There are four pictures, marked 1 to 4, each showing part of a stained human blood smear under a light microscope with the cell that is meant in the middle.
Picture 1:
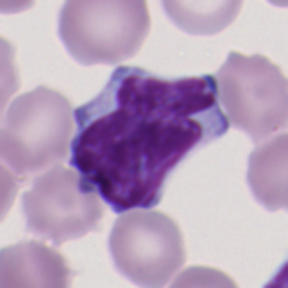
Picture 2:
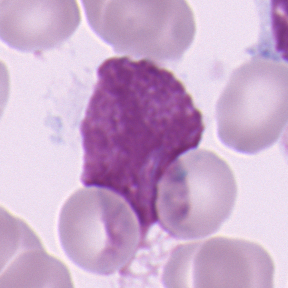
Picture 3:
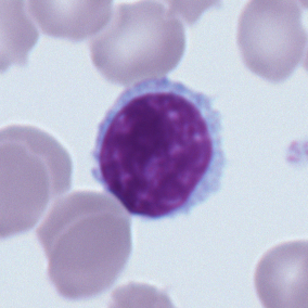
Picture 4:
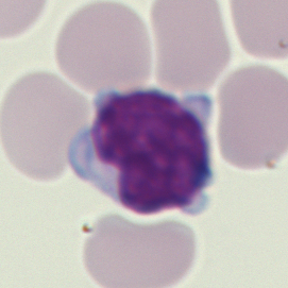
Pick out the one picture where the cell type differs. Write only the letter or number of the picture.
2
